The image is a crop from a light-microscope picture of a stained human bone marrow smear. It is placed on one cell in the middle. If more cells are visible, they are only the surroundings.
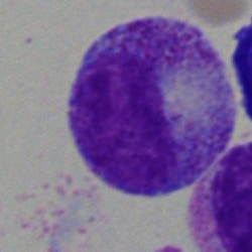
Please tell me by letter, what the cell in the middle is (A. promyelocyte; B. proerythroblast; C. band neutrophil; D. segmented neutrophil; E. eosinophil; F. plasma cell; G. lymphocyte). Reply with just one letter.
A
